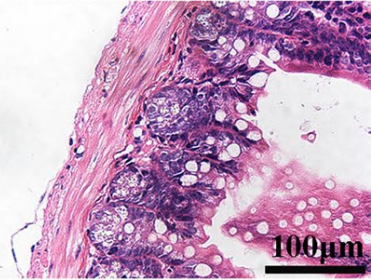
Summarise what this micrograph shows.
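Section of the intestinal wall showing the mucosa beside a band of pink smooth muscle, with the open lumen at the lower right. The epithelium lining the lumen is columnar, with dark elongated nuclei, and holds many clear, round vacuoles. Beneath it lie glands with crowded purple nuclei and a few clusters of pale, foamy cells. The smooth muscle layer is made of long, spindle-shaped cells with elongated nuclei.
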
